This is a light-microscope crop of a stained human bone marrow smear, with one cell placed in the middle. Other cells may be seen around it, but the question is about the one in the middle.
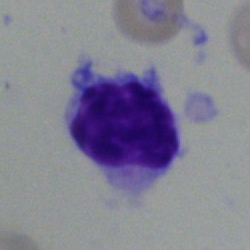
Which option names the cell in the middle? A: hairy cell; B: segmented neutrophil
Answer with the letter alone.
A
